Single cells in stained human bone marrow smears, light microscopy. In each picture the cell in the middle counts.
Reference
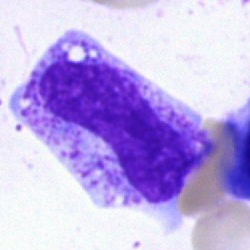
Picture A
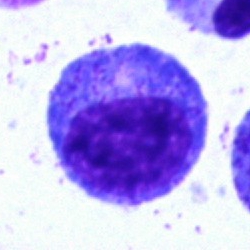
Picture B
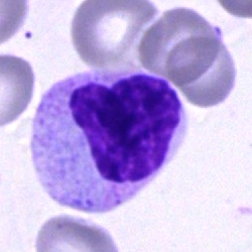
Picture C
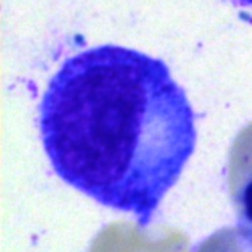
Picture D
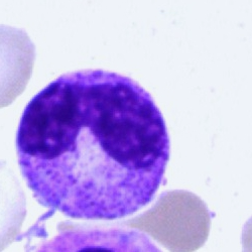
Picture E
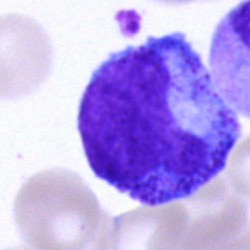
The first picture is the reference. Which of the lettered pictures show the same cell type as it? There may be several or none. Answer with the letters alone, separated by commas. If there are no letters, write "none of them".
B, D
